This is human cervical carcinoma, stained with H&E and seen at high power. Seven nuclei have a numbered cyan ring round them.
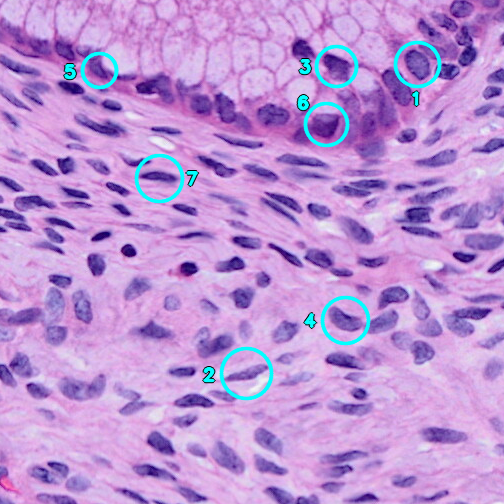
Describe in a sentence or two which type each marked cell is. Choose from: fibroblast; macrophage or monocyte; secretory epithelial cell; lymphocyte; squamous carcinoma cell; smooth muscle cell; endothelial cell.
Cell 1 is a secretory epithelial cell, cell 2 is a fibroblast, cell 3 is a secretory epithelial cell, cell 4 is a fibroblast, cell 5 is a secretory epithelial cell, cell 6 is a secretory epithelial cell and cell 7 is a fibroblast.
